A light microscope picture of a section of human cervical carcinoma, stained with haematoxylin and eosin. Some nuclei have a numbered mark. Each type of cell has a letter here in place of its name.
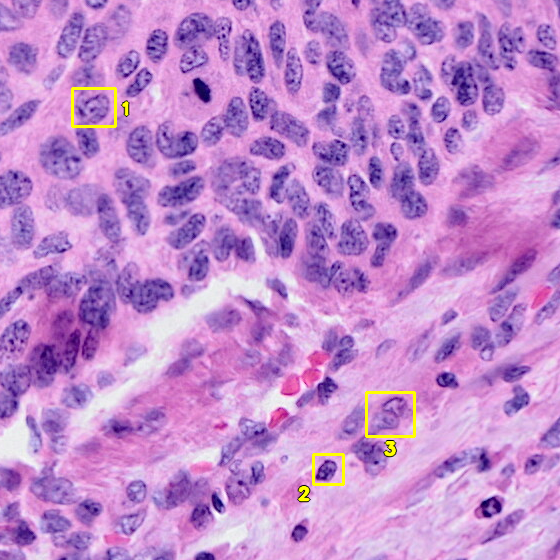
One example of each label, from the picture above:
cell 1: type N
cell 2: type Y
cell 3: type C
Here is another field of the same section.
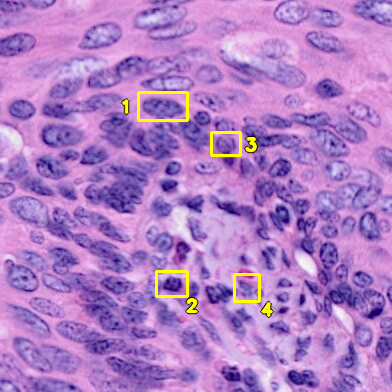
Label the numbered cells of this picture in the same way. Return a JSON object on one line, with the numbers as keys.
{"1": "type N", "2": "type Y", "3": "type N", "4": "type C"}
